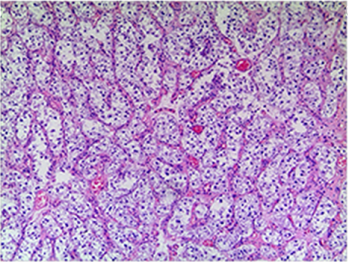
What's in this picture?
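This section shows tumor cells arranged in nests and alveolar groups separated by thin fibrovascular septa. The cells are large with abundant pale to clear cytoplasm, some appearing faintly pink. Nuclei are small, round and dark purple, scattered within the cell groups. The delicate septa between the nests contain small vessels, several filled with red blood cells. Some nests have a loosened centre, giving a pseudo-alveolar appearance.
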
